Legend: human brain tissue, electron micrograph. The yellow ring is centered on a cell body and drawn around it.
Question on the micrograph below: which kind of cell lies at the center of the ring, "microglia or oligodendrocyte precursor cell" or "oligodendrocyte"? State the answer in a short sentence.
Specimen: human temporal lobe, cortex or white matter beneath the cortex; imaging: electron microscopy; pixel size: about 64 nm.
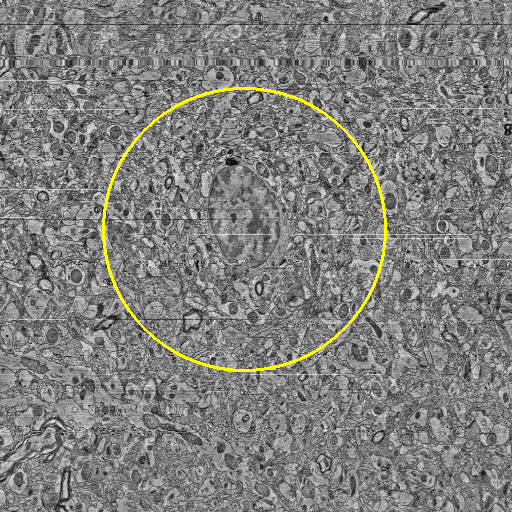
At the center of the ring lies an oligodendrocyte.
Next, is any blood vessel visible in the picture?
No, no vessel shows anywhere in the image.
